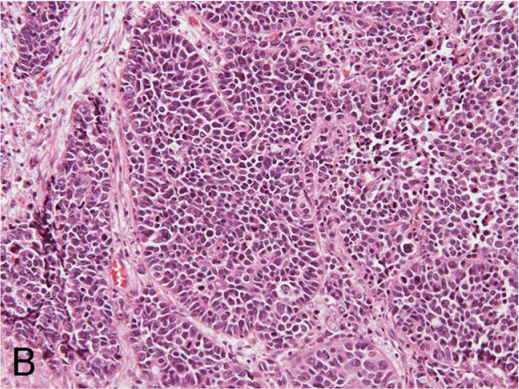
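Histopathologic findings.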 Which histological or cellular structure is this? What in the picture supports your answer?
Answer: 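Nests showing a palisading or organoid pattern. Crowded tumor cells are grouped in large rounded nests. Thin pink fibrous septa with small vessels separate the nests. Cells at the edge of the nests line up side by side.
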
